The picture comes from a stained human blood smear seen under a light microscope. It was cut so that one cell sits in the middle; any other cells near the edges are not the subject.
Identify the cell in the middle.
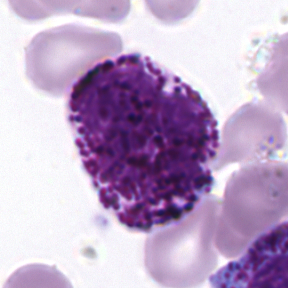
basophil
